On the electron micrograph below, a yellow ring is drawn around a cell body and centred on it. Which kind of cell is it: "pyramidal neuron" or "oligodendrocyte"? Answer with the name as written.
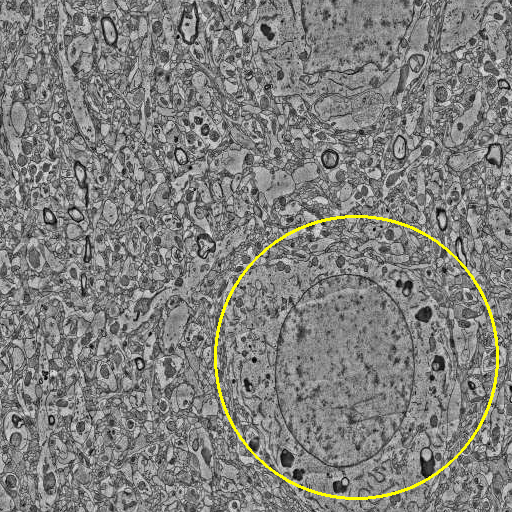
pyramidal neuron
